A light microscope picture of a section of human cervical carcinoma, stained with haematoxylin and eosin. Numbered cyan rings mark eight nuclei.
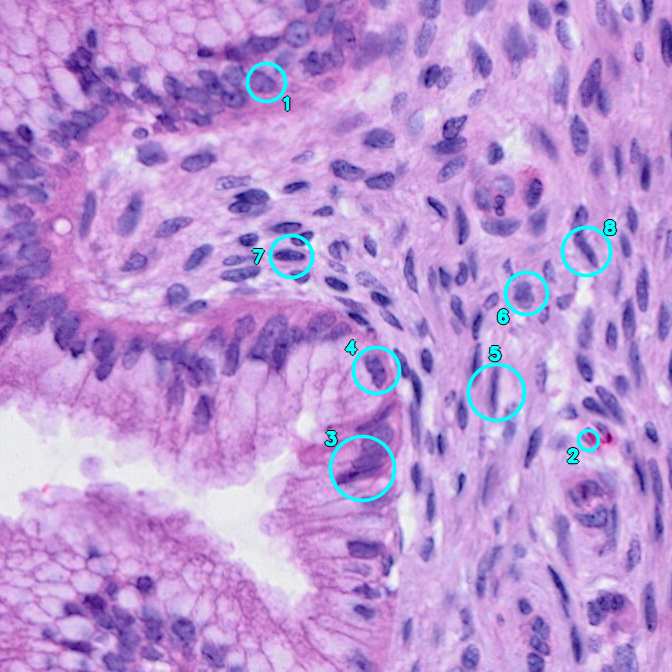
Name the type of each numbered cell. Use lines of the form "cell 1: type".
cell 1: secretory epithelial cell
cell 2: endothelial cell
cell 3: secretory epithelial cell
cell 4: secretory epithelial cell
cell 5: fibroblast
cell 6: fibroblast
cell 7: fibroblast
cell 8: fibroblast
